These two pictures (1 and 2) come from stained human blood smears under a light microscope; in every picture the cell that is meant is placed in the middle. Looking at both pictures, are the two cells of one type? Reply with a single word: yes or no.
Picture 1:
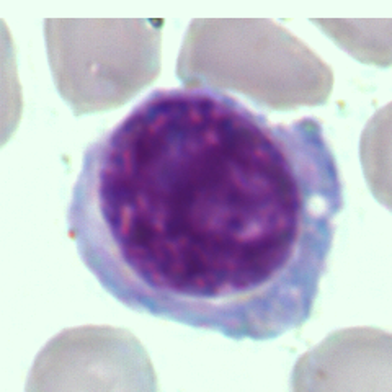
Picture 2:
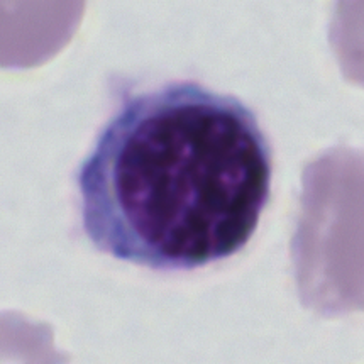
yes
